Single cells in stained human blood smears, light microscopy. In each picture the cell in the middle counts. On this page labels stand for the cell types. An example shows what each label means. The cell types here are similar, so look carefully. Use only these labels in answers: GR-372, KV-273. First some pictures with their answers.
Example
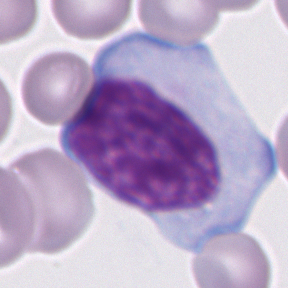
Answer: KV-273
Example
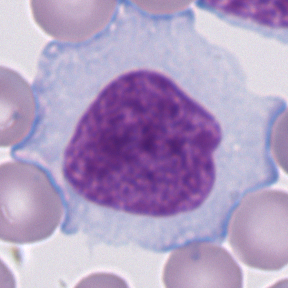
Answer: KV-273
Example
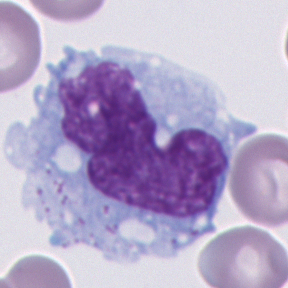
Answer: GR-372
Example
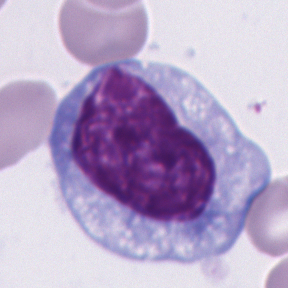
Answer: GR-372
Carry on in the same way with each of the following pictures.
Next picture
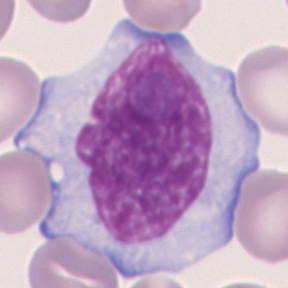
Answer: KV-273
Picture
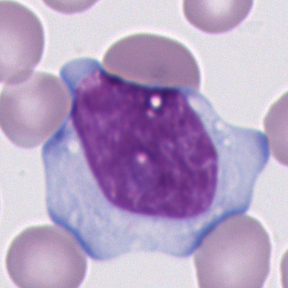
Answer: KV-273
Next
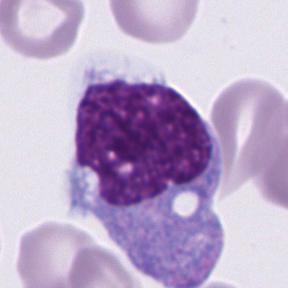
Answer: GR-372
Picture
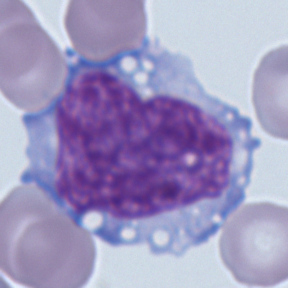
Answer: KV-273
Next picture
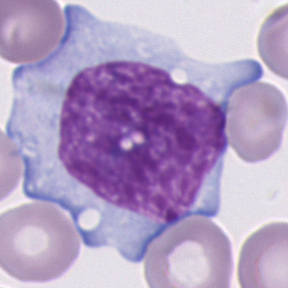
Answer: KV-273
